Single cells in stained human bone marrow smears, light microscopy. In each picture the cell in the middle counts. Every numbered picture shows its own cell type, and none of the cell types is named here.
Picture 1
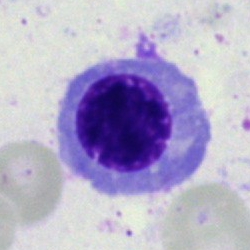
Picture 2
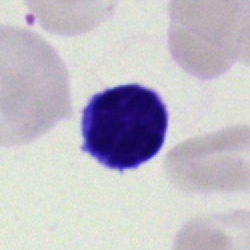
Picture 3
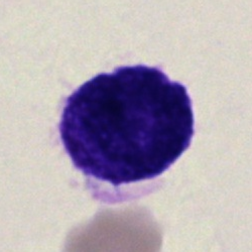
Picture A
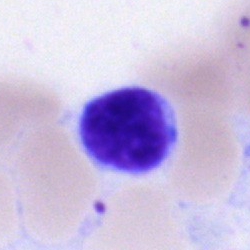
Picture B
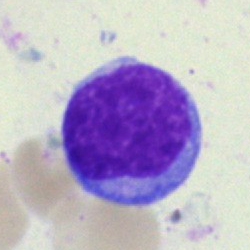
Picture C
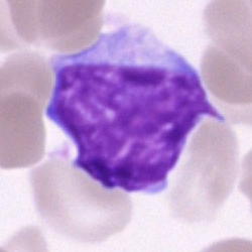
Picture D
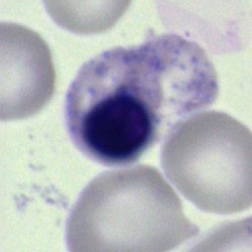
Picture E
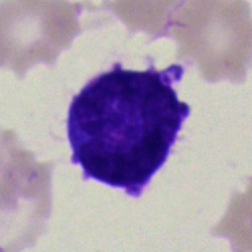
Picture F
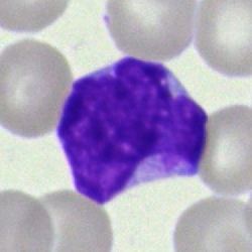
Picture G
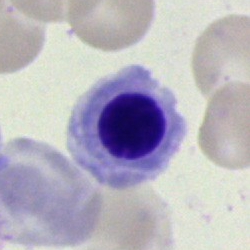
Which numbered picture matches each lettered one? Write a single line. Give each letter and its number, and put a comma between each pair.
A 2, B 3, C 3, D 1, E 3, F 3, G 1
